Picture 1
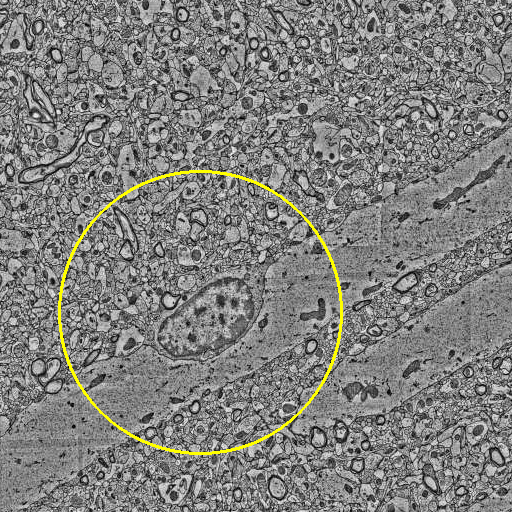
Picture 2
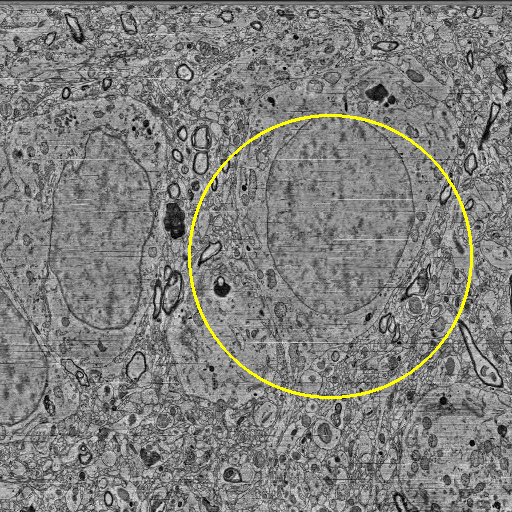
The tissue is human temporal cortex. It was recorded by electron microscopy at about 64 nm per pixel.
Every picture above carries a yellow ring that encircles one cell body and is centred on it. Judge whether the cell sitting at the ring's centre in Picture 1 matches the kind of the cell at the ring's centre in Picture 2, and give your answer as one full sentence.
No, the cells centred in the rings of Pictures 1 and 2 belong to two kinds.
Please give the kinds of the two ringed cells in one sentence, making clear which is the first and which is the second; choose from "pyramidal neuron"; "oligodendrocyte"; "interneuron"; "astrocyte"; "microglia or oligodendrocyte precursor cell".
In the second picture the ringed cell is a pyramidal neuron; in the first it is an oligodendrocyte.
